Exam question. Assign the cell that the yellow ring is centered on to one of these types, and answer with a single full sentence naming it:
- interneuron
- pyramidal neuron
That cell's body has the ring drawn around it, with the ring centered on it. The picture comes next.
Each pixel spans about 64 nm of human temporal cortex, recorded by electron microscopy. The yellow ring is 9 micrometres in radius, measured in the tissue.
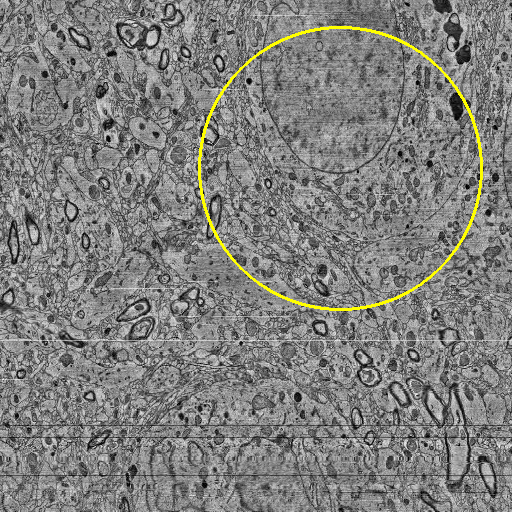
In the micrograph, the cell the yellow ring is centered on is a pyramidal neuron.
